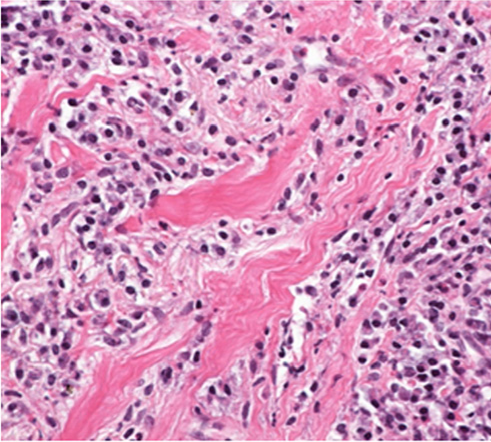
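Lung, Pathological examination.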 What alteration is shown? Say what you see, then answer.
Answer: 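Dense sheets of small round cells with dark, round nuclei and scant cytoplasm fill much of the field. The small round cells lie packed between pink fibrous bands.
Hence: marked lymphocytic infiltration.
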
